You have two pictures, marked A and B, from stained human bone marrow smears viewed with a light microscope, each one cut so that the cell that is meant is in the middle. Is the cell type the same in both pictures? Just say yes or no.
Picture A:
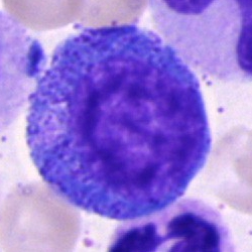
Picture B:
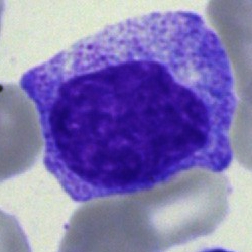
yes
